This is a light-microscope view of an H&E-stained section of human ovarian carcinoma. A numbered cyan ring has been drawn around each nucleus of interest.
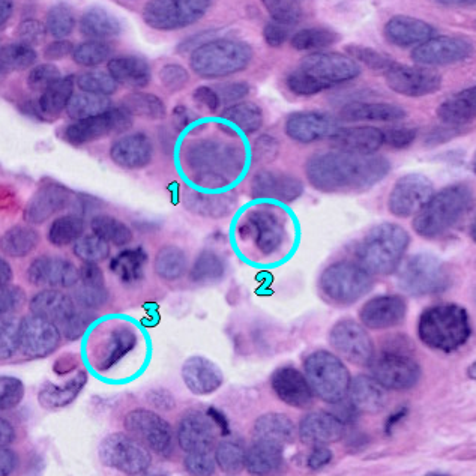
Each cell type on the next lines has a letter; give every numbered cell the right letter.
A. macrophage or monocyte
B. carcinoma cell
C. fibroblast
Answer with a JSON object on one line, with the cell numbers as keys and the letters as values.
{"1": "B", "2": "A", "3": "A"}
